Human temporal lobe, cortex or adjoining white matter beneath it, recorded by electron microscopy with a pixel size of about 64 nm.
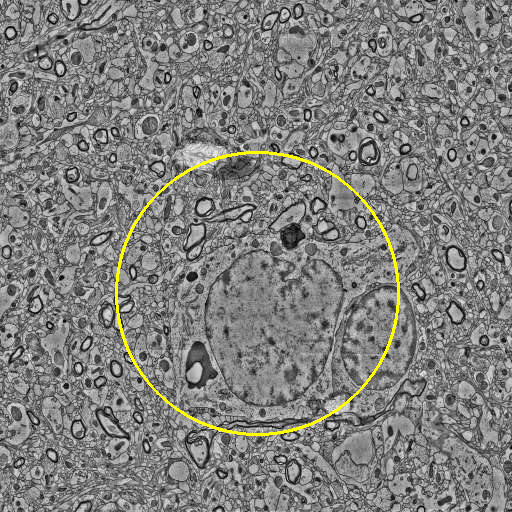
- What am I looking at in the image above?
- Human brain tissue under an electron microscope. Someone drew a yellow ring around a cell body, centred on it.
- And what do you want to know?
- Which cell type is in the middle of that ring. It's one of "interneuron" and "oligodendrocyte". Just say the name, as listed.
interneuron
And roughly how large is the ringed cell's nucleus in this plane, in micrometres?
In this plane, roughly 10 by 9 micrometres.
